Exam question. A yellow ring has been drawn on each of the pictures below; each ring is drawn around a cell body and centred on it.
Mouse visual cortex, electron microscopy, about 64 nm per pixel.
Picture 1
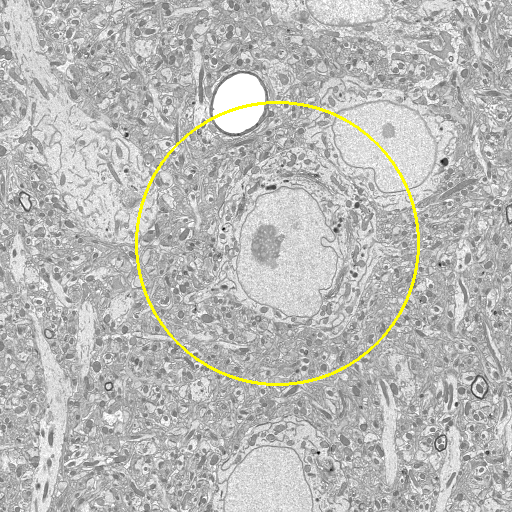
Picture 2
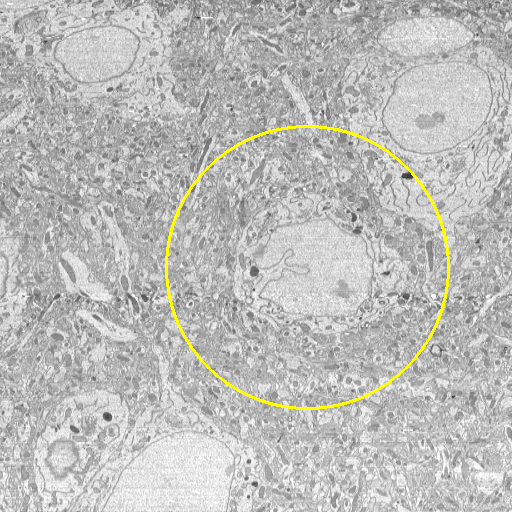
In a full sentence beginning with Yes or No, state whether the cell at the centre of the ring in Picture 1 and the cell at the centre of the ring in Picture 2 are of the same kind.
Yes, the two cells are of the same kind.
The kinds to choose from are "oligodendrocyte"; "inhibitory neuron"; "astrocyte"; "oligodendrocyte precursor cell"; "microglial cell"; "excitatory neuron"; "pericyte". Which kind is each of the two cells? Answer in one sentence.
In both pictures the ring is centred on an inhibitory neuron.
